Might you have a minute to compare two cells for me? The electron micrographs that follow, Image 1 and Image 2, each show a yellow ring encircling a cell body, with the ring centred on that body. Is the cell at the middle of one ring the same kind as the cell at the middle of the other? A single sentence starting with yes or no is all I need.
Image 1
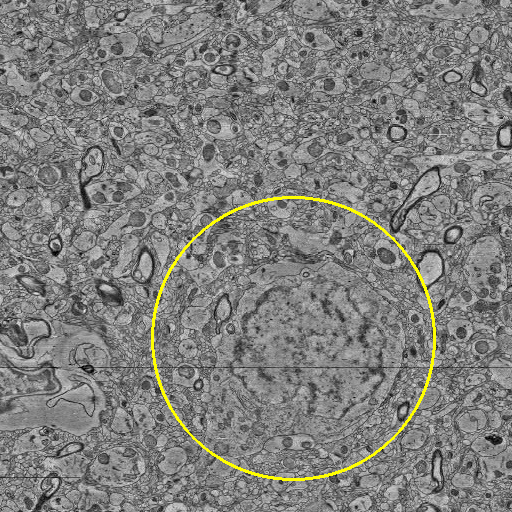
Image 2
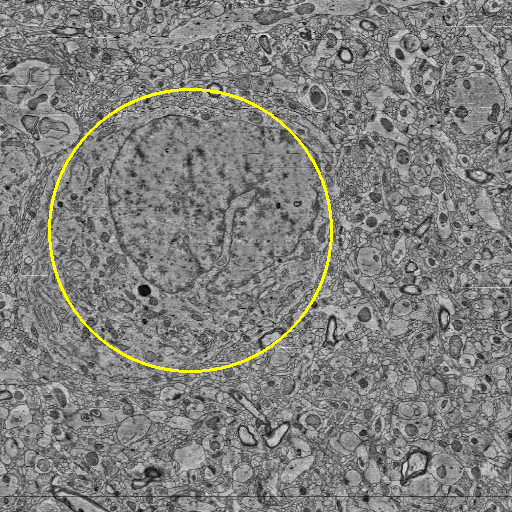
Yes, the cells in the middle of the two rings are of one shared kind.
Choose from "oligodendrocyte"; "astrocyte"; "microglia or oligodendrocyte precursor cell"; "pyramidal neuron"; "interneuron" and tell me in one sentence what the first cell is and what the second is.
The ring centre holds an interneuron in each of the two pictures.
